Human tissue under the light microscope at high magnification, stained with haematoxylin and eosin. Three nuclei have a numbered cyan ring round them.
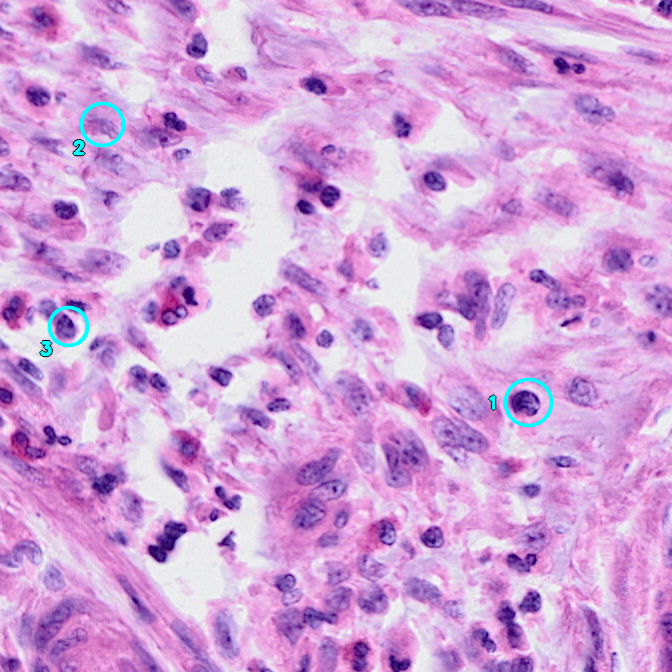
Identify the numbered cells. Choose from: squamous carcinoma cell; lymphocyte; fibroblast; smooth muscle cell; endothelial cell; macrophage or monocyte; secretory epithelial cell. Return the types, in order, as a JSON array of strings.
["lymphocyte", "fibroblast", "lymphocyte"]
